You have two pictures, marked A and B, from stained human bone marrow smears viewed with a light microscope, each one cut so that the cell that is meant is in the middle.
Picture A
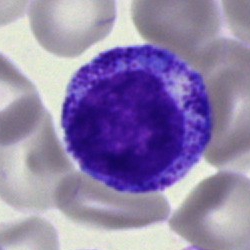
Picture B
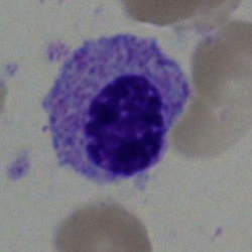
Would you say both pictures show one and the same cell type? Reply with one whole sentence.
Yes, the two pictures both show myelocytes.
